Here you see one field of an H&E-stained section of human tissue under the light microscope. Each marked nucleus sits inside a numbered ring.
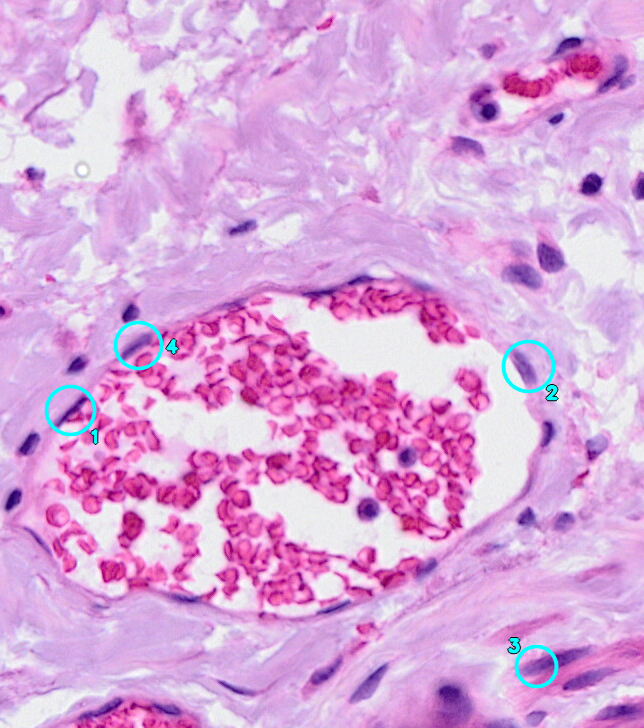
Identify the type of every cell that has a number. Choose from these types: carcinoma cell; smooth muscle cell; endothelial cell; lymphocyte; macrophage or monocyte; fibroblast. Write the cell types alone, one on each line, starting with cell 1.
endothelial cell
endothelial cell
smooth muscle cell
endothelial cell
